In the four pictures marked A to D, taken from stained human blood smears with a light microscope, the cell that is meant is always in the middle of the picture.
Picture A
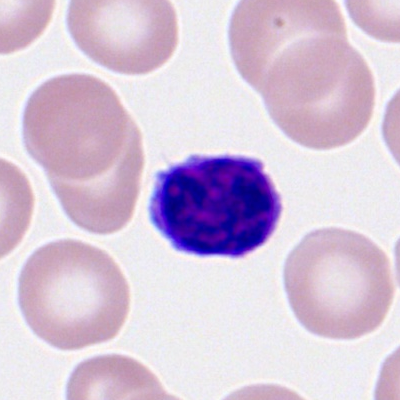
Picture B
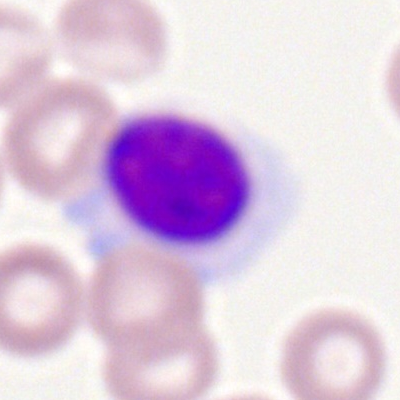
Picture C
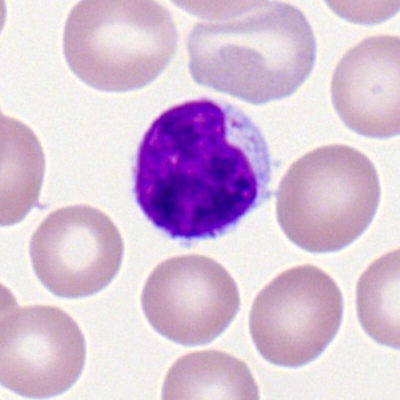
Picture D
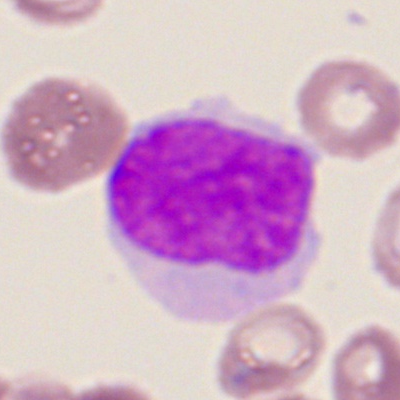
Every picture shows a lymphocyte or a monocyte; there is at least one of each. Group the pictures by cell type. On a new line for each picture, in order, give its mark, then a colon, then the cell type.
A: lymphocyte
B: lymphocyte
C: lymphocyte
D: monocyte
